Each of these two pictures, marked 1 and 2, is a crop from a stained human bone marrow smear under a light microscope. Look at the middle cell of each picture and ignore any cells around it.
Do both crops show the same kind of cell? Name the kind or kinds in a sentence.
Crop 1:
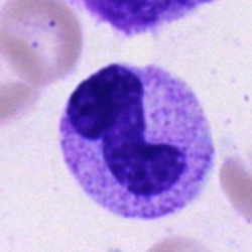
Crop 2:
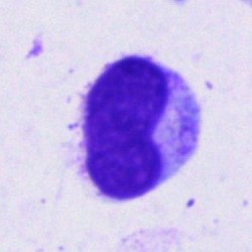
No, the cells are a band neutrophil in crop 1 and a metamyelocyte in crop 2.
